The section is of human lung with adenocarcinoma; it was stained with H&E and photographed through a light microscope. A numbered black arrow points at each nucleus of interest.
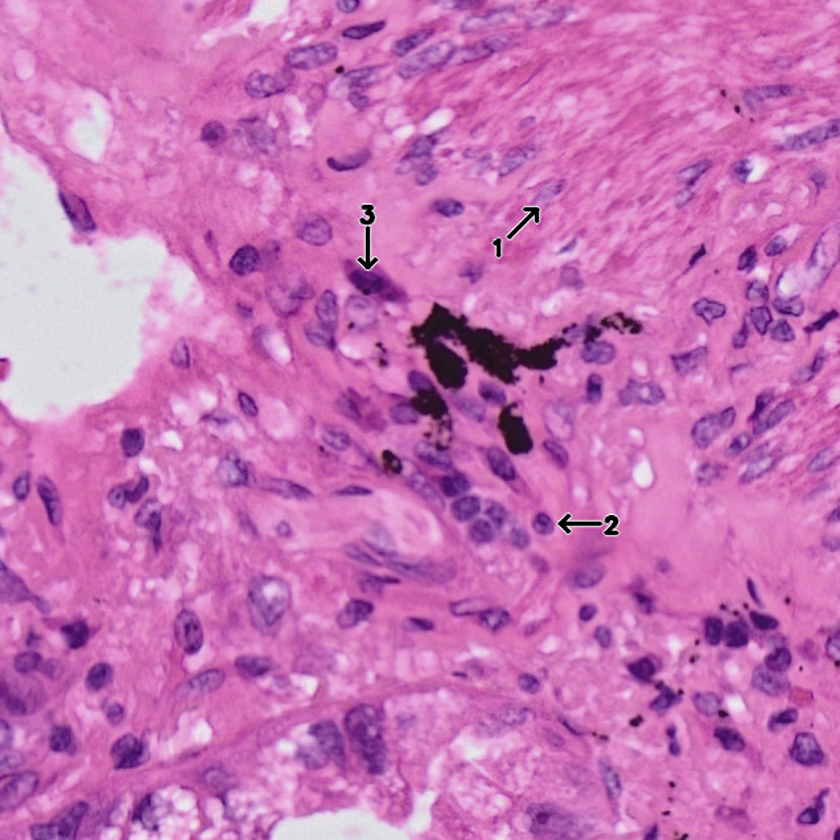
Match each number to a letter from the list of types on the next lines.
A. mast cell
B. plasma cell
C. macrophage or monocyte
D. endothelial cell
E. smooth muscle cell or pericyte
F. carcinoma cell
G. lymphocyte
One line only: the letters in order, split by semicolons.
E; G; B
